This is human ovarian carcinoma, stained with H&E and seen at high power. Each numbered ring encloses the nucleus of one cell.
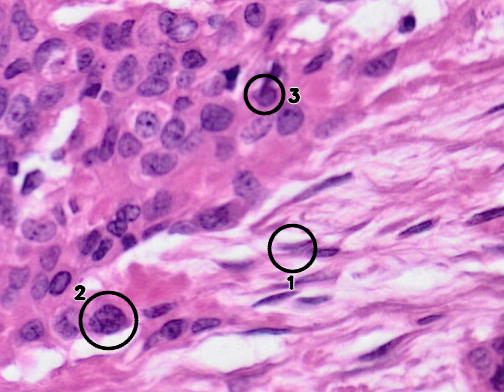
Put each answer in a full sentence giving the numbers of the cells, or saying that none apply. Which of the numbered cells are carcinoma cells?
The numbers 2 and 3 in this section indicate carcinoma cells.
